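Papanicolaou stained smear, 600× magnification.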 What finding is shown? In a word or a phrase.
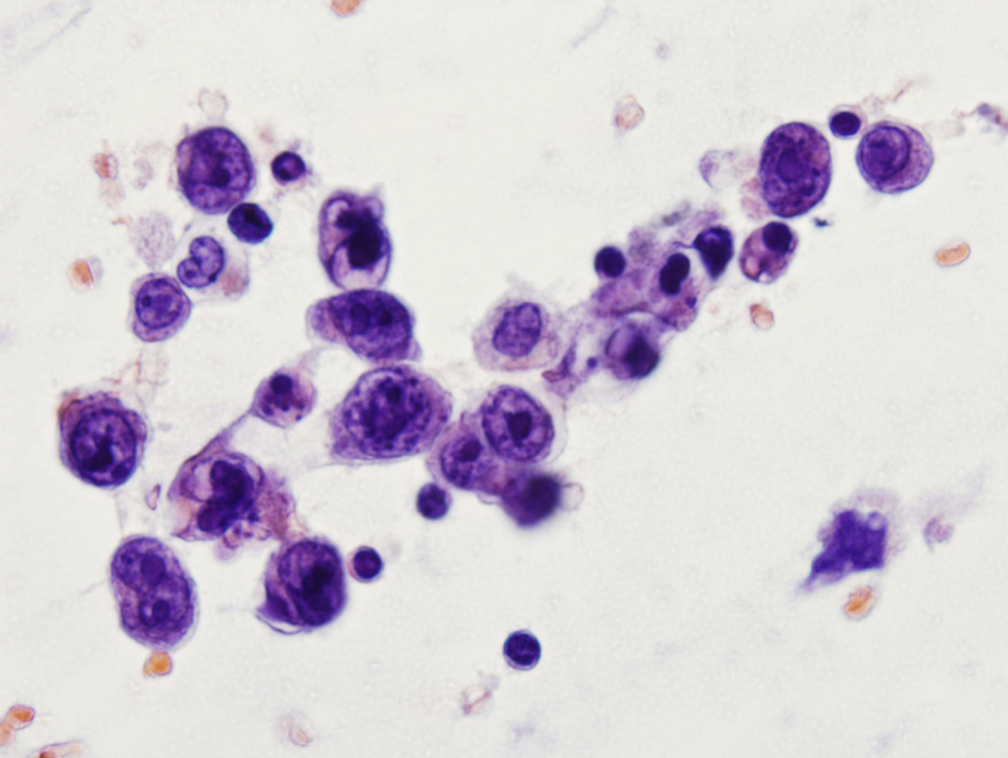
anisonucleosis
